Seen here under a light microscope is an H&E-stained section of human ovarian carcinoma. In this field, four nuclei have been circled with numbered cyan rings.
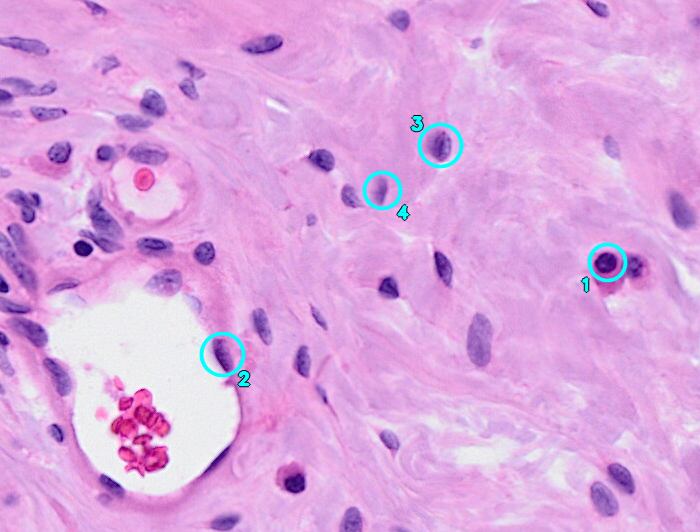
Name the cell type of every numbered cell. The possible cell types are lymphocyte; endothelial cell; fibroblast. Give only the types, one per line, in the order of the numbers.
lymphocyte
endothelial cell
fibroblast
fibroblast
